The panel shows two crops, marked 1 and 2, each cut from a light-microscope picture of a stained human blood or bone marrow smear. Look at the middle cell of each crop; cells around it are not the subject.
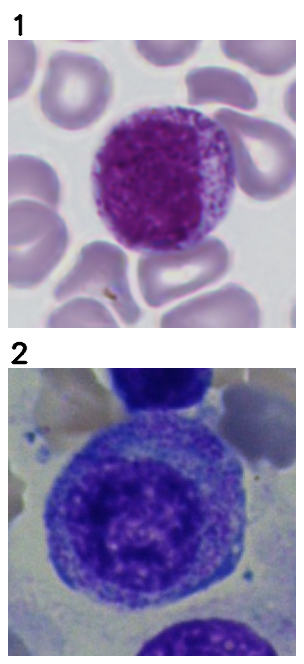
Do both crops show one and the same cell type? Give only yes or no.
yes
